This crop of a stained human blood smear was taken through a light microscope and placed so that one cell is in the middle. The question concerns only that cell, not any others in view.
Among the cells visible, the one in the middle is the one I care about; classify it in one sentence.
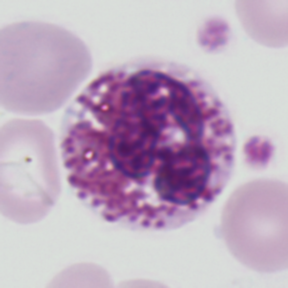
The cell around which this crop is centred is an eosinophil.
